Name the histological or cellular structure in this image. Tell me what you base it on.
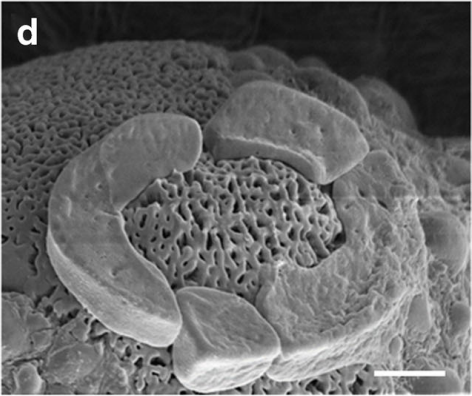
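Ring. Smooth curved segments arranged in a circle on the grain surface. The segments enclose a patch of perforated wall.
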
